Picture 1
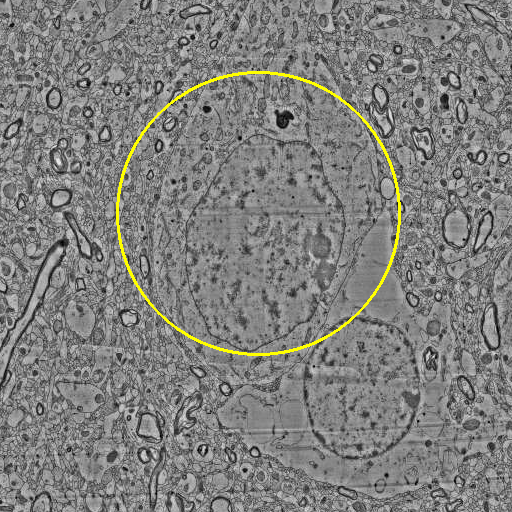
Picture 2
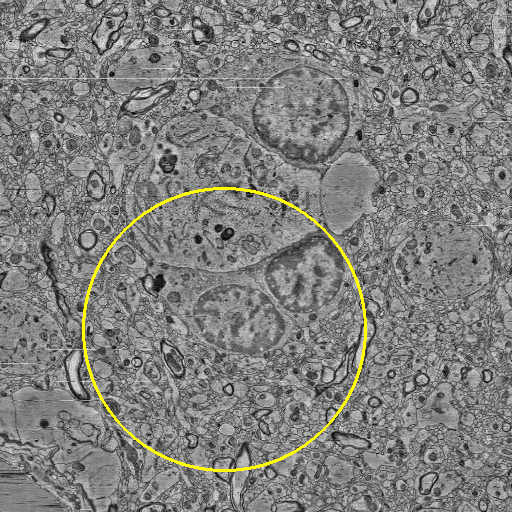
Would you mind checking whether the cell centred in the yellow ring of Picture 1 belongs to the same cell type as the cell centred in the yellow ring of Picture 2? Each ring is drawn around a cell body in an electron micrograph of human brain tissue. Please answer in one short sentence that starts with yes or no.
No, the two cells are of two types.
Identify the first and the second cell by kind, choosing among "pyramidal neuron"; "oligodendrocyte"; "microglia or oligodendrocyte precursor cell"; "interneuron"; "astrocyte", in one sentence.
The one in the first picture is a pyramidal neuron, while the one in the second is an oligodendrocyte.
